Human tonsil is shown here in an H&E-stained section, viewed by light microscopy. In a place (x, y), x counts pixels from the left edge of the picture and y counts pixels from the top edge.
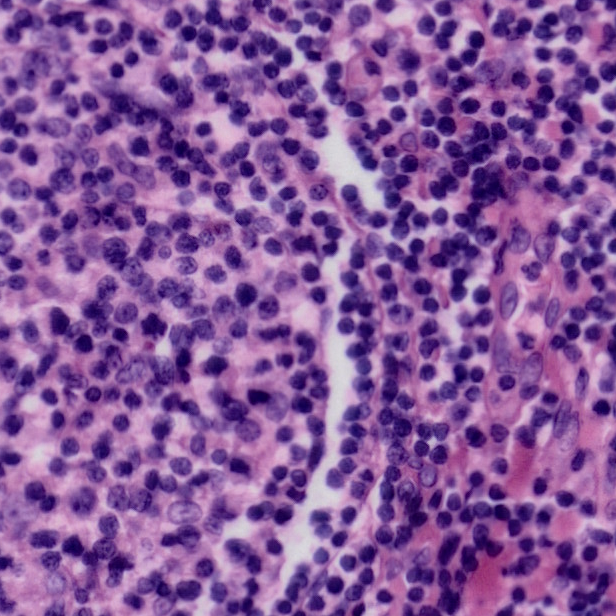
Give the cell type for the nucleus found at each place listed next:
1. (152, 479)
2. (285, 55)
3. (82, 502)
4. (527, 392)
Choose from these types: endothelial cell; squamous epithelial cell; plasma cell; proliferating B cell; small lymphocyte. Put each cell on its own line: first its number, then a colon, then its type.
1: proliferating B cell
2: small lymphocyte
3: proliferating B cell
4: endothelial cell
